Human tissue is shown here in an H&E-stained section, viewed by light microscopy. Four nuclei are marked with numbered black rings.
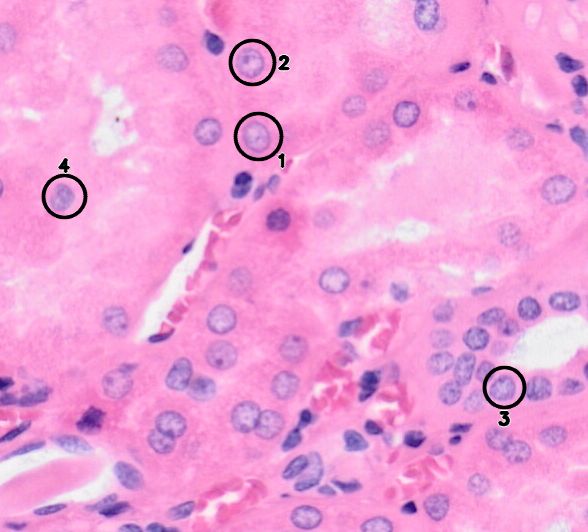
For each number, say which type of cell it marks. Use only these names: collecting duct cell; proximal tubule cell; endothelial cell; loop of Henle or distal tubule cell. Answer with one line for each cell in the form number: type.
1: proximal tubule cell
2: proximal tubule cell
3: collecting duct cell
4: proximal tubule cell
